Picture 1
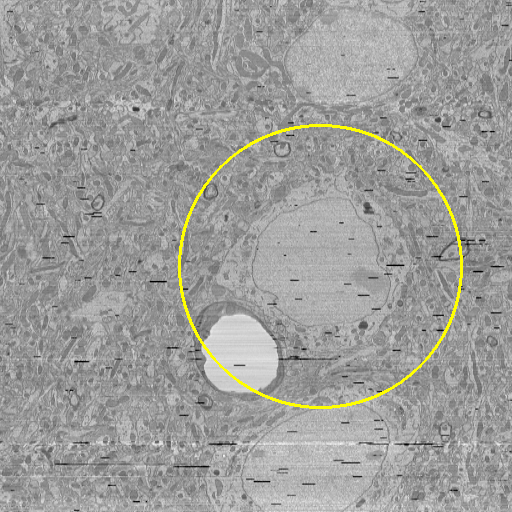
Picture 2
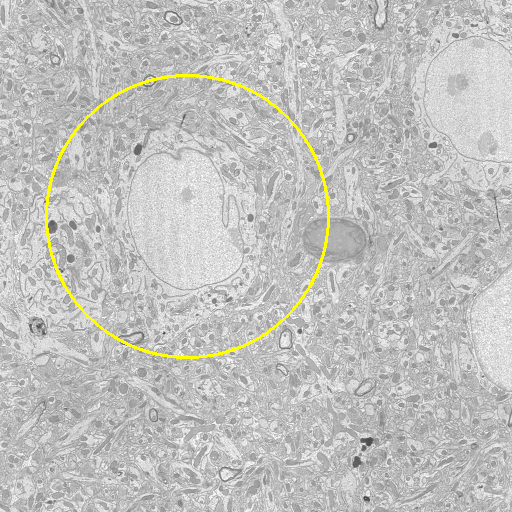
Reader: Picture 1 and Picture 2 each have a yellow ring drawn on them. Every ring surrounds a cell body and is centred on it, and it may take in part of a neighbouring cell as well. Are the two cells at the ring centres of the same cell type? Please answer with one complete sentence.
Yes, both cells are of the same cell type.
